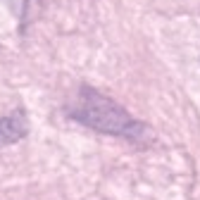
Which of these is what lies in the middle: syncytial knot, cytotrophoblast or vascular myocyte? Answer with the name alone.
vascular myocyte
